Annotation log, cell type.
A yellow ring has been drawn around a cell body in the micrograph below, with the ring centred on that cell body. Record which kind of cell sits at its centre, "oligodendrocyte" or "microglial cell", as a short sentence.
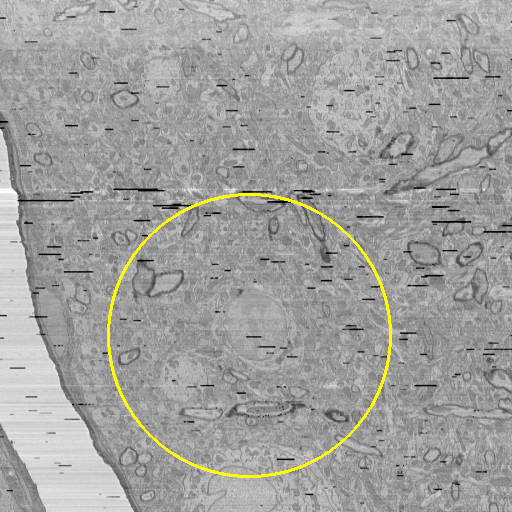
The cell at the centre of this ring is a microglial cell.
